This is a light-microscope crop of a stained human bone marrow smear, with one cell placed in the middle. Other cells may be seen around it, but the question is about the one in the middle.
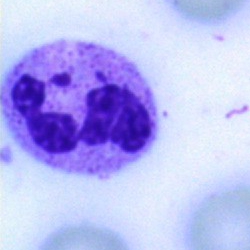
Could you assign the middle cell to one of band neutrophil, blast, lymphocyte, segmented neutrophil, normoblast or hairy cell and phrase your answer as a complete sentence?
Classification of the middle cell gives a segmented neutrophil.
